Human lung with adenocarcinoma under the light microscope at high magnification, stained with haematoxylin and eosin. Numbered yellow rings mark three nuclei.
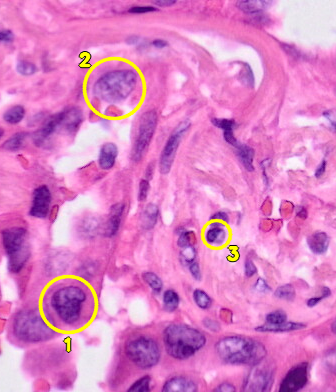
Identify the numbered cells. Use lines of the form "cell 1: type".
cell 1: carcinoma cell
cell 2: carcinoma cell
cell 3: lymphocyte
